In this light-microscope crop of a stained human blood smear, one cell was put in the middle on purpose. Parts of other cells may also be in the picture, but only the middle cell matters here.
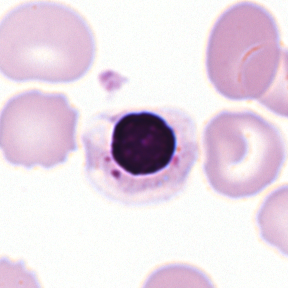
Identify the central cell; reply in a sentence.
To answer, the cell in the center of the crop is a normoblast.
